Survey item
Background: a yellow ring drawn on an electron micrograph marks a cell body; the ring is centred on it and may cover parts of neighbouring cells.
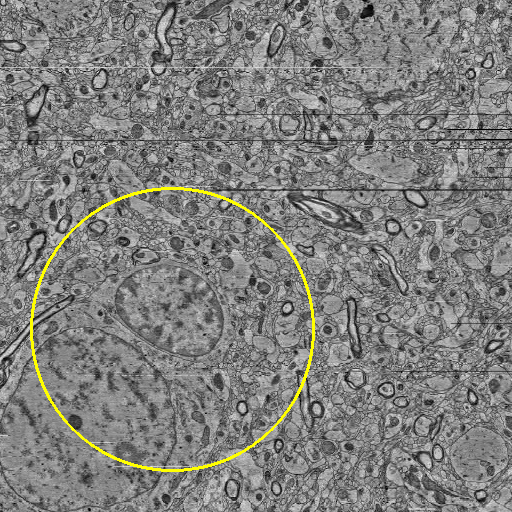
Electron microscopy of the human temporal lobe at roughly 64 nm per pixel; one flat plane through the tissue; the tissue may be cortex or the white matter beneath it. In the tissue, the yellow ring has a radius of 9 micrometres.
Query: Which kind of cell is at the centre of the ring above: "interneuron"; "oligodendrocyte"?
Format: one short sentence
The cell in the middle of the ring is an oligodendrocyte.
